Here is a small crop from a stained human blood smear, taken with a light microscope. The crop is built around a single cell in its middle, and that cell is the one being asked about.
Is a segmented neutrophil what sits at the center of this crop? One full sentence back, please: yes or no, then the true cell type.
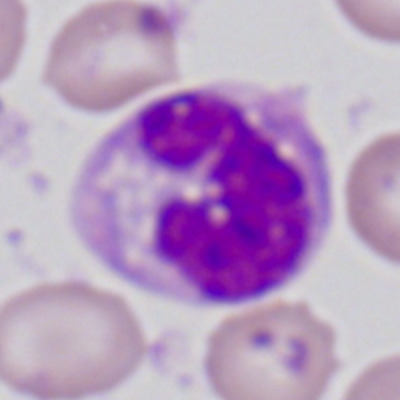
No, that would be a monocyte, not a segmented neutrophil, for the cell at the centre.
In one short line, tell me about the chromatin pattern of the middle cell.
Take a look at the chromatin, which is coarsely clumped.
